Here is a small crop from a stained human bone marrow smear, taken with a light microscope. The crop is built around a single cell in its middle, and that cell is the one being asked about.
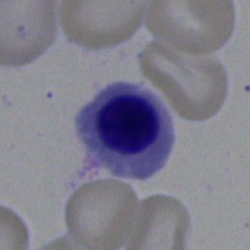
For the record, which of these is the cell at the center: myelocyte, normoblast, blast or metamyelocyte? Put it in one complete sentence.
The cell under consideration, at the middle of the crop, is a normoblast.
